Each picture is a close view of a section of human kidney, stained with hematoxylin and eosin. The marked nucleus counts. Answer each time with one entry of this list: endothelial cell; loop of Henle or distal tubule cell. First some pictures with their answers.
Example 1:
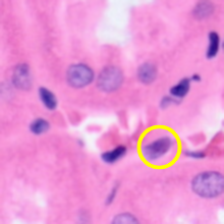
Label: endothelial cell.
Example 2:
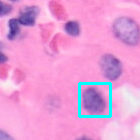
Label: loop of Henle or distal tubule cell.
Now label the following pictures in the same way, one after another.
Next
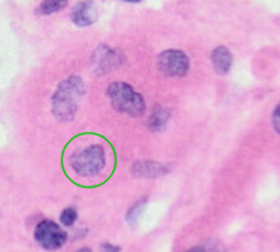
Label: loop of Henle or distal tubule cell.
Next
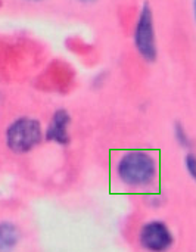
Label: loop of Henle or distal tubule cell.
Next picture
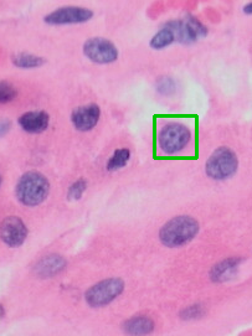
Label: loop of Henle or distal tubule cell.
